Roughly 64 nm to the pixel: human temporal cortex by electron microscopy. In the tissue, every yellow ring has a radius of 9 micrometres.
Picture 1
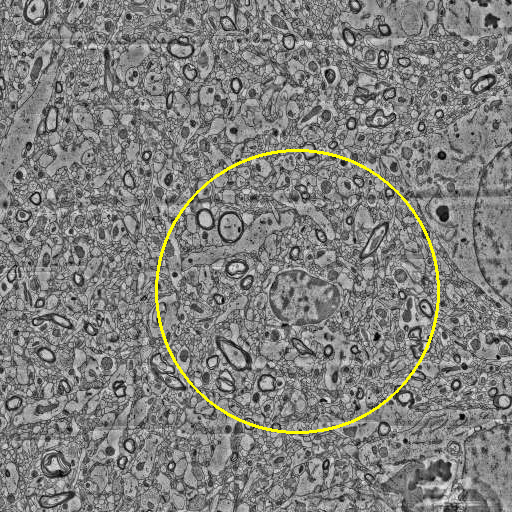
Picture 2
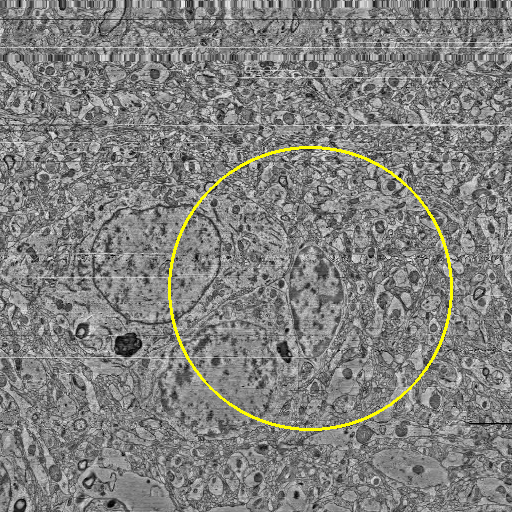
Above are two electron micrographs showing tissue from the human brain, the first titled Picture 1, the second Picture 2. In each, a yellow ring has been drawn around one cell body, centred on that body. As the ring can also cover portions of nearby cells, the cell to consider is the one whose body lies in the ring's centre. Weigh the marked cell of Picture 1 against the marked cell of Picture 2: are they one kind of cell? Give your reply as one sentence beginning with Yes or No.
Yes, the two cells sitting at the ring centres in the pictures are of one kind.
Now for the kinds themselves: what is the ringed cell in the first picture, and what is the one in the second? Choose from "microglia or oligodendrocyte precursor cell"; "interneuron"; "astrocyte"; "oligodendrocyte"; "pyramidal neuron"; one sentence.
The first and the second cell are each a microglial cell or oligodendrocyte precursor cell.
